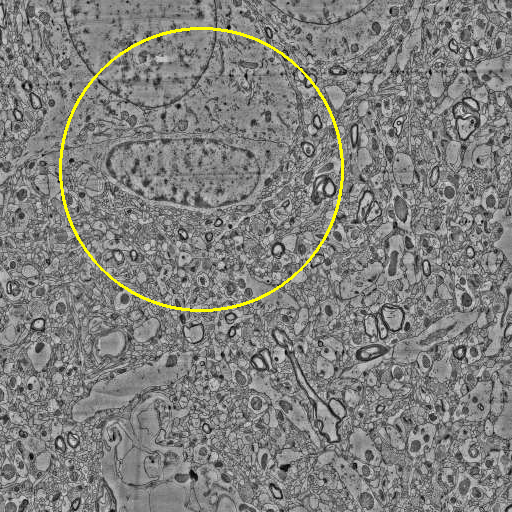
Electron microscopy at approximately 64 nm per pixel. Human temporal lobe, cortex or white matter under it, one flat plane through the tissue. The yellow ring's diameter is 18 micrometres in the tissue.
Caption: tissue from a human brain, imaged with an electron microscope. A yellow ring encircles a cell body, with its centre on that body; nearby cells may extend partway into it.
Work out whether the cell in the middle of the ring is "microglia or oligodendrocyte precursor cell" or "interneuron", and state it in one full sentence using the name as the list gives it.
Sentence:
In the picture, the cell that the yellow ring surrounds at its centre is a microglial cell or oligodendrocyte precursor cell.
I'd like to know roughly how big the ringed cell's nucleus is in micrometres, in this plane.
Roughly 10 micrometres by 4 micrometres, so the nucleus is clearly longer than it is wide in this plane.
